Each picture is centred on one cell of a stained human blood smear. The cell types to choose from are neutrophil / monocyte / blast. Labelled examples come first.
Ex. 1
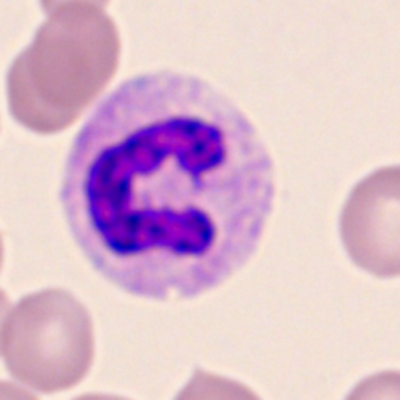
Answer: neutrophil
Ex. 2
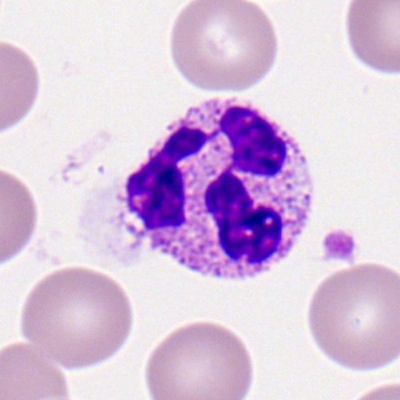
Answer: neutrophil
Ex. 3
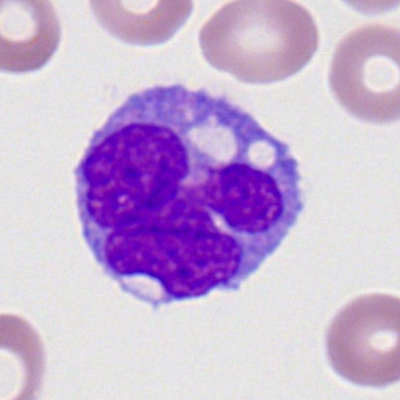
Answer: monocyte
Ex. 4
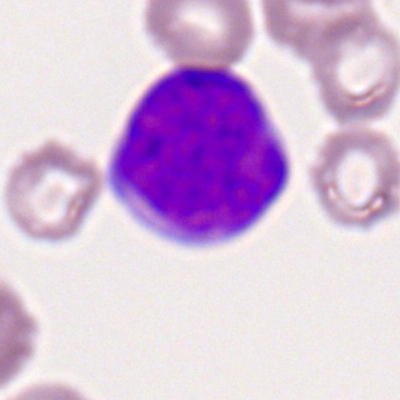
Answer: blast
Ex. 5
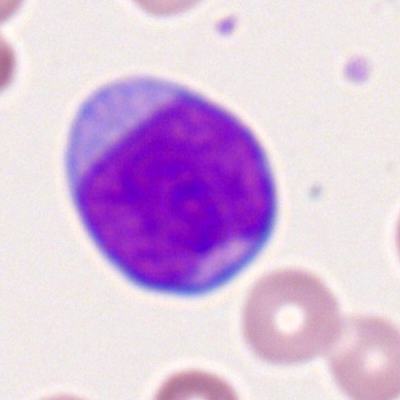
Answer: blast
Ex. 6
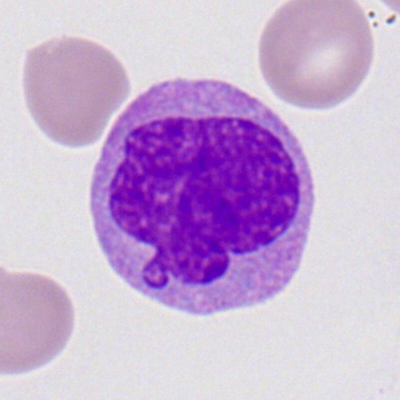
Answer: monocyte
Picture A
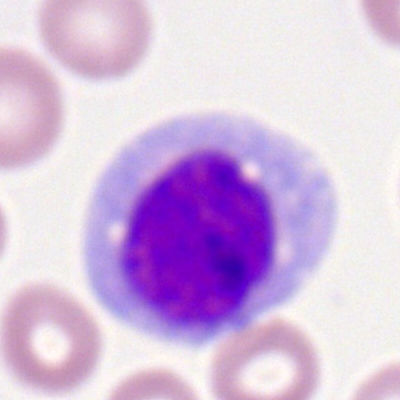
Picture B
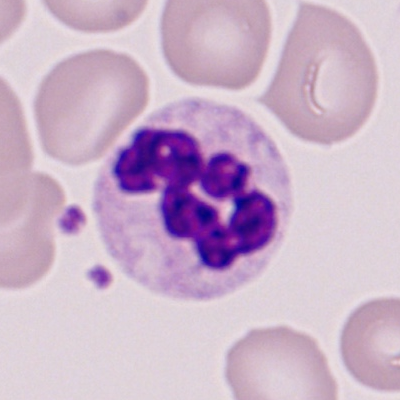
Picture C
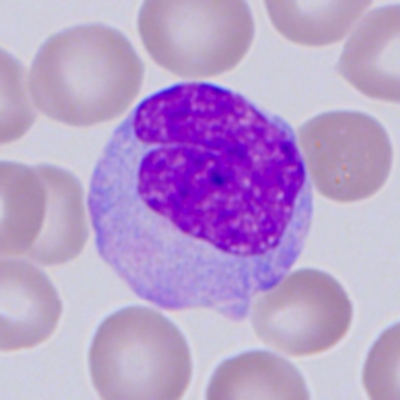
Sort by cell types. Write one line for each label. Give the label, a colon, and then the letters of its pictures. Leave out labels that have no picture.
neutrophil: B
monocyte: A, C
